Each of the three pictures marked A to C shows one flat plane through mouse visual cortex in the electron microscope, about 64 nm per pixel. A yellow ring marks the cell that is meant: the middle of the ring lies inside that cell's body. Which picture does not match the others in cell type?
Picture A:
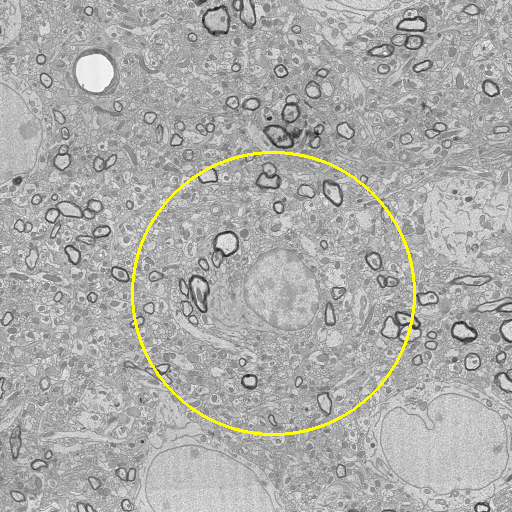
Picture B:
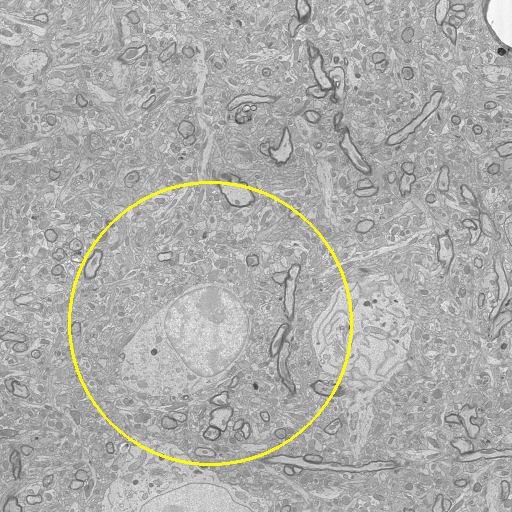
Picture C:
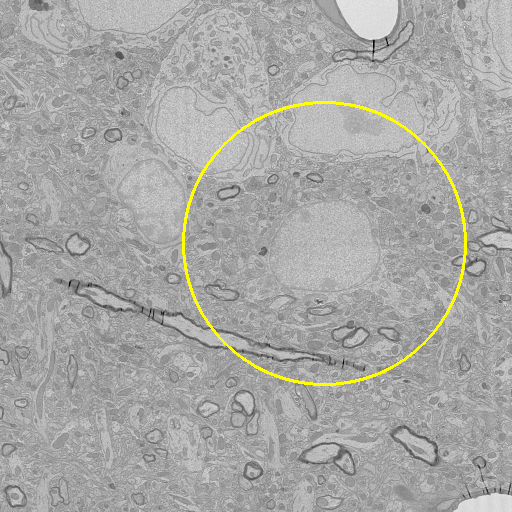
Unlike the rest, which show oligodendrocytes, picture C shows an astrocyte.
